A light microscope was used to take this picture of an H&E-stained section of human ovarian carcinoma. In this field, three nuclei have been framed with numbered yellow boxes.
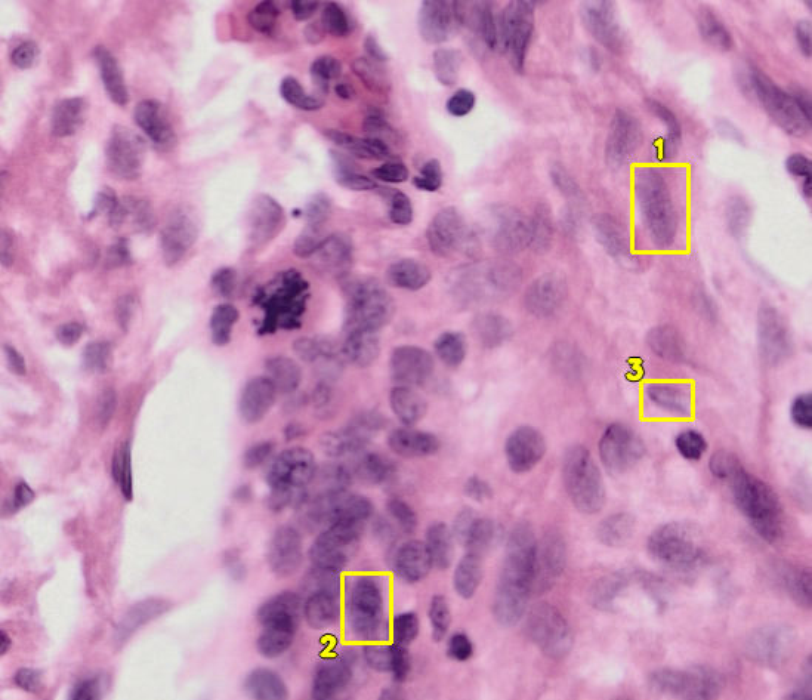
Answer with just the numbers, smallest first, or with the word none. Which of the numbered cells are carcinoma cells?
2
